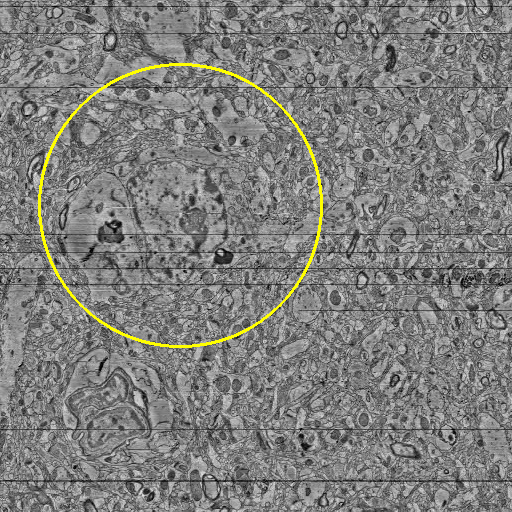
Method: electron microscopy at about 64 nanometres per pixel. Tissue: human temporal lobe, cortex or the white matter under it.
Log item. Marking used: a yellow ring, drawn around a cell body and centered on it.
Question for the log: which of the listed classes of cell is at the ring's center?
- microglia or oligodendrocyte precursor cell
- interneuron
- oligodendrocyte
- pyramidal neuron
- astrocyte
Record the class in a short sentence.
At the center of the ring lies an interneuron.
